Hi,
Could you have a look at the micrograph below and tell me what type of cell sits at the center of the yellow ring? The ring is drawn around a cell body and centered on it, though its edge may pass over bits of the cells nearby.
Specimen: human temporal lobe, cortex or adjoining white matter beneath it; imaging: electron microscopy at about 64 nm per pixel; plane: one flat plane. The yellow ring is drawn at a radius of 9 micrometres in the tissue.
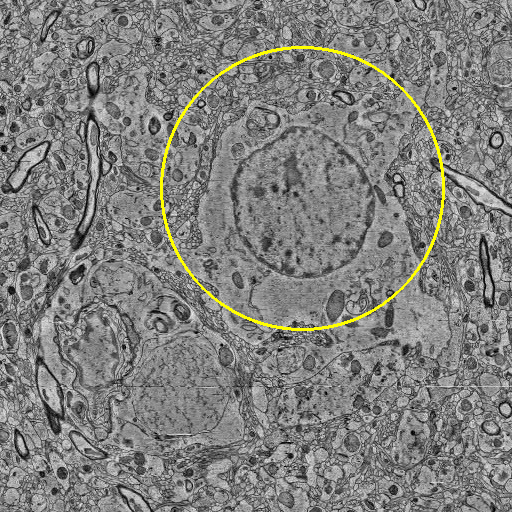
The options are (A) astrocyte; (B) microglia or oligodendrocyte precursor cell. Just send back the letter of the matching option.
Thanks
A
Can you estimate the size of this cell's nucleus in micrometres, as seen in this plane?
The ringed cell's nucleus is about 9 micrometres across in this plane.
